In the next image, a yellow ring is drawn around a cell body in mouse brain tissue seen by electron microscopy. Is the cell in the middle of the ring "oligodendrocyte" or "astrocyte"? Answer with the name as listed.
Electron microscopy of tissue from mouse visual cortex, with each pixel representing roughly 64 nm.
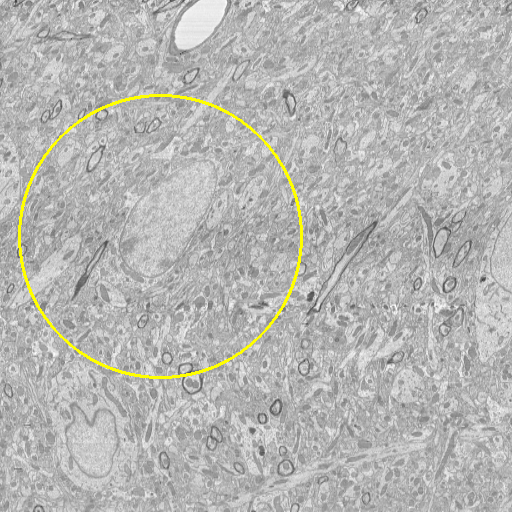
astrocyte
